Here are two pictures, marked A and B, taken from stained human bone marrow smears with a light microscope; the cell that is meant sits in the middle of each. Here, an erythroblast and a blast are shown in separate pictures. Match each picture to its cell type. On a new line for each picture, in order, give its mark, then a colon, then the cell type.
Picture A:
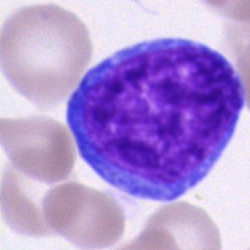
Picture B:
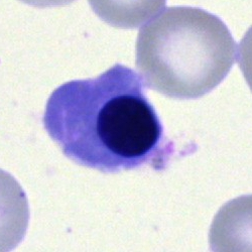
A: blast
B: erythroblast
